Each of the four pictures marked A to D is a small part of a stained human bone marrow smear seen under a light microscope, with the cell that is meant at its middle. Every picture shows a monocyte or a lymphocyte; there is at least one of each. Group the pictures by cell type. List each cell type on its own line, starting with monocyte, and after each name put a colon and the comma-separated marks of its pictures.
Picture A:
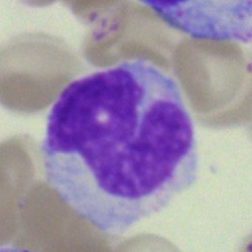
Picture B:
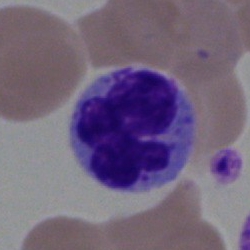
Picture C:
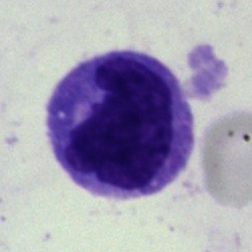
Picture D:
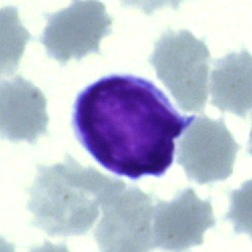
monocyte: A, B, C
lymphocyte: D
